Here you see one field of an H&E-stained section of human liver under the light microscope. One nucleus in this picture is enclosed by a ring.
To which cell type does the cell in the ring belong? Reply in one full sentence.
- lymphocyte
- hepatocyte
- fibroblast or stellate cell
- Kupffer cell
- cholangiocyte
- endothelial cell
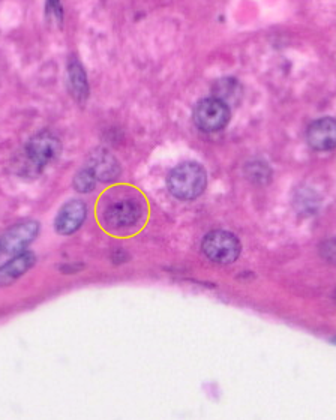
The category to which the cell in the ring belongs is that of a cholangiocyte.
